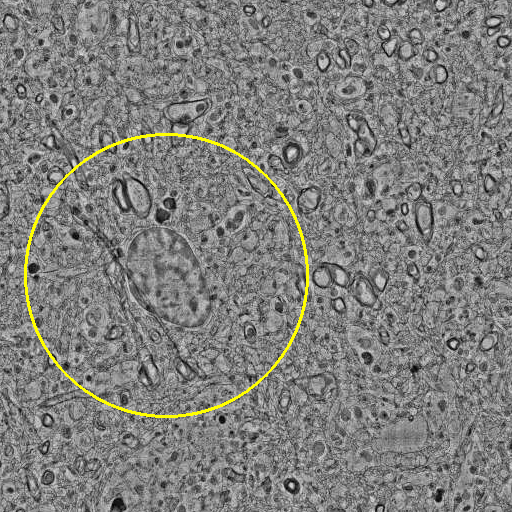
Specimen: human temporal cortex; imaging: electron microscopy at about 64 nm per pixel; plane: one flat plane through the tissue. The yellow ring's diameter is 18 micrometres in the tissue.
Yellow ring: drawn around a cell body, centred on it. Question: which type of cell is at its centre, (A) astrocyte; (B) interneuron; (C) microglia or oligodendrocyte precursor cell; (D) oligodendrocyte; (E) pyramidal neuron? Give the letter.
C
